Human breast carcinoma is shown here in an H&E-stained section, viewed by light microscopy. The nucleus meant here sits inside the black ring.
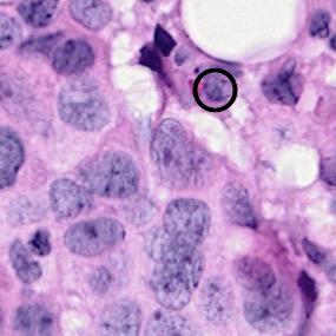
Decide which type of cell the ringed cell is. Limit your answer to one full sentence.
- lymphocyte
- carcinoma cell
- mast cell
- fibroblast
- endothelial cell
In this preparation, the ringed cell is an endothelial cell.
